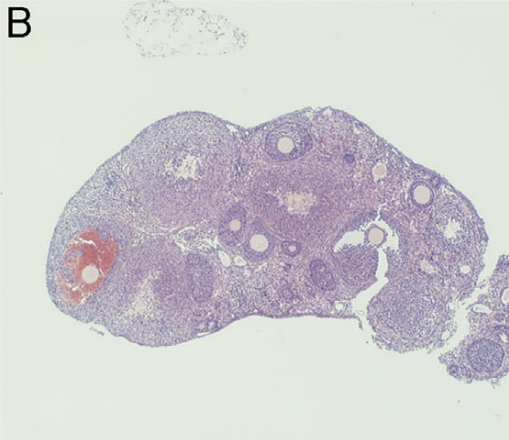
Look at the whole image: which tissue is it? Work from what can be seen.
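Ovary. A lobed organ section containing round follicles with central oocytes. Follicles are surrounded by dense pink-purple stroma. A patch of red blood lies around one follicle at the left edge.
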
